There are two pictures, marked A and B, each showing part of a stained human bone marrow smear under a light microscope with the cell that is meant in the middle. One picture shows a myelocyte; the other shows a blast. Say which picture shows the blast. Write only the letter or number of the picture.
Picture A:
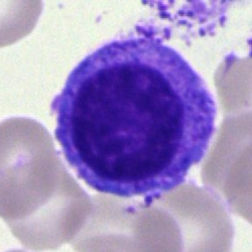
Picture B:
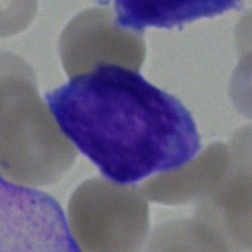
B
